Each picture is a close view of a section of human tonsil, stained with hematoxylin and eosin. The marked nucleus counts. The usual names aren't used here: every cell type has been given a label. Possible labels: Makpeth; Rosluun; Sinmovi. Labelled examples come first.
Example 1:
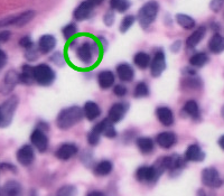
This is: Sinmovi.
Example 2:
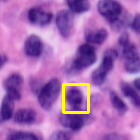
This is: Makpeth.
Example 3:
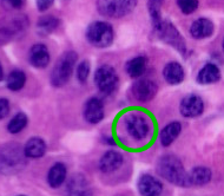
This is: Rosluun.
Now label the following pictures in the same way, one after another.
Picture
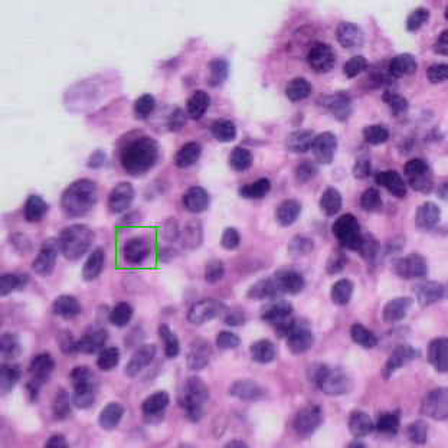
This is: Makpeth.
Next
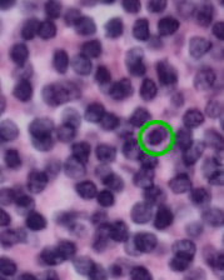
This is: Sinmovi.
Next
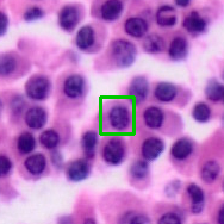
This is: Rosluun.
